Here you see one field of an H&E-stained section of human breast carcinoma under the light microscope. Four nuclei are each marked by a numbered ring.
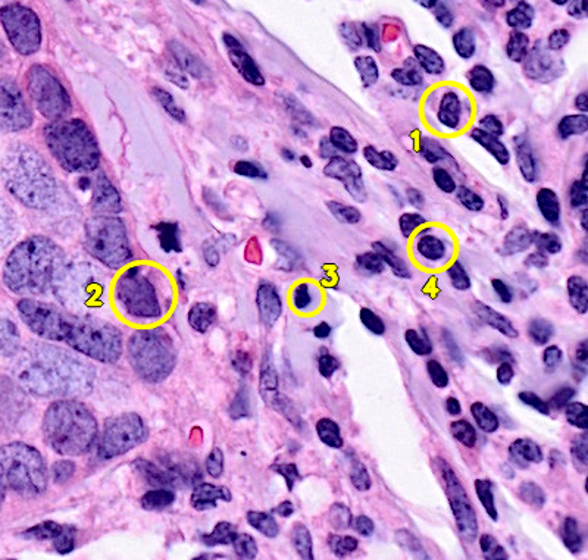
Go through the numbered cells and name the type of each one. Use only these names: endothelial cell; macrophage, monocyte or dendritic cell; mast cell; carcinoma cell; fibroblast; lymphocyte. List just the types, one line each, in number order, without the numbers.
lymphocyte
carcinoma cell
lymphocyte
lymphocyte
